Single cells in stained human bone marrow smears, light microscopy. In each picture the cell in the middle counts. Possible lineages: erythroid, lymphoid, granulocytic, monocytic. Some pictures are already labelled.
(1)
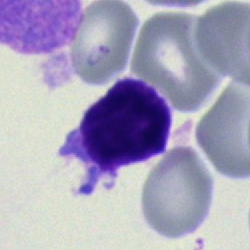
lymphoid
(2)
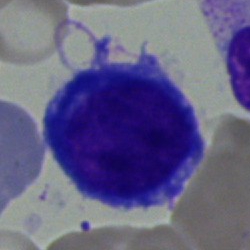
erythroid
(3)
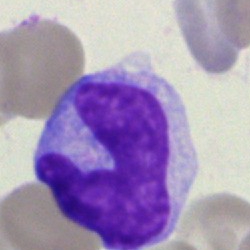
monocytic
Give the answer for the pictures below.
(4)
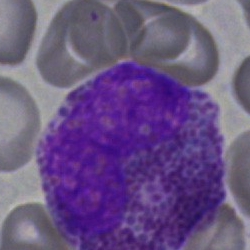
granulocytic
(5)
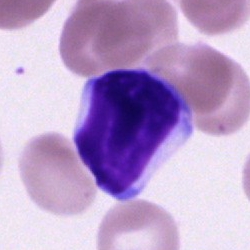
lymphoid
